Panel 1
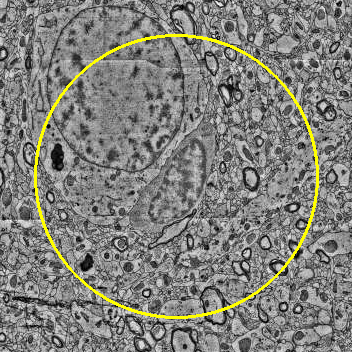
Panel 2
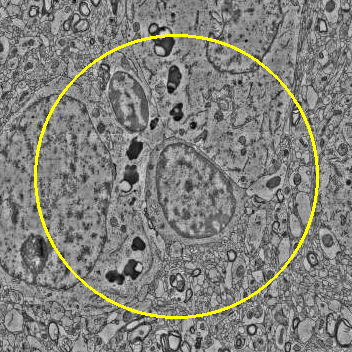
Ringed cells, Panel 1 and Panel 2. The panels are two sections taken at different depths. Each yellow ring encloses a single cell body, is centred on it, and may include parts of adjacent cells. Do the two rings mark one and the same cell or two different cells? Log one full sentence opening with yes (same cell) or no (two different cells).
No, the two yellow rings surround two different cells.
